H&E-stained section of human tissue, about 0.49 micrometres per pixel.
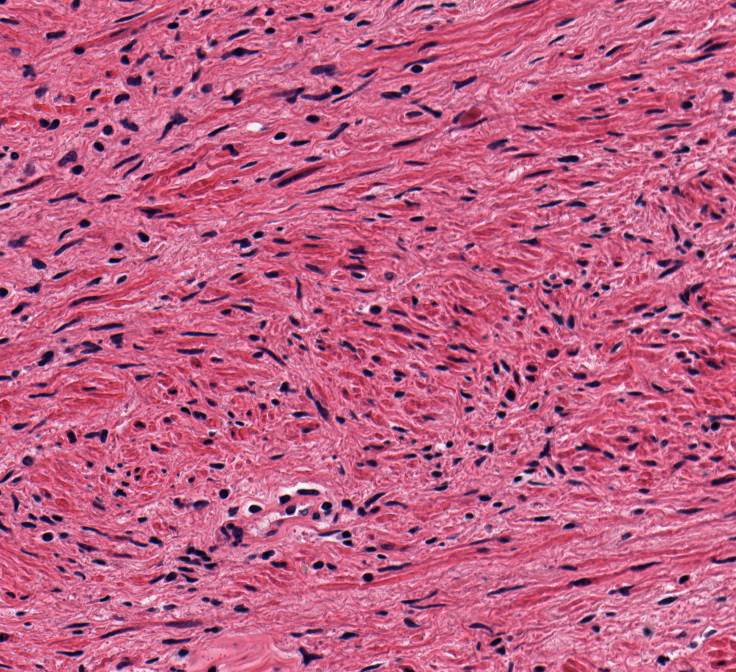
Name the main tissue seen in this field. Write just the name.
fibromuscular stroma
